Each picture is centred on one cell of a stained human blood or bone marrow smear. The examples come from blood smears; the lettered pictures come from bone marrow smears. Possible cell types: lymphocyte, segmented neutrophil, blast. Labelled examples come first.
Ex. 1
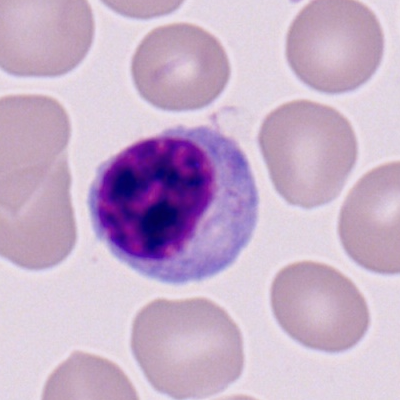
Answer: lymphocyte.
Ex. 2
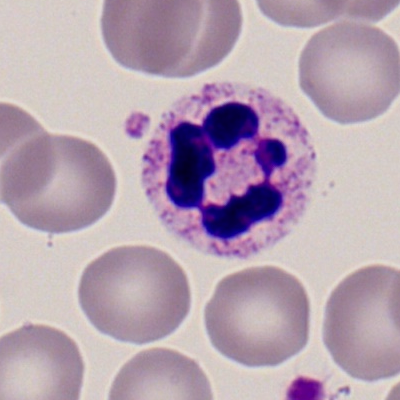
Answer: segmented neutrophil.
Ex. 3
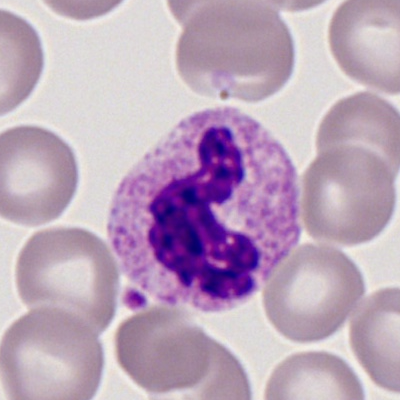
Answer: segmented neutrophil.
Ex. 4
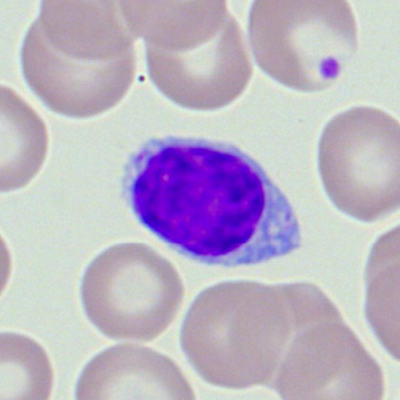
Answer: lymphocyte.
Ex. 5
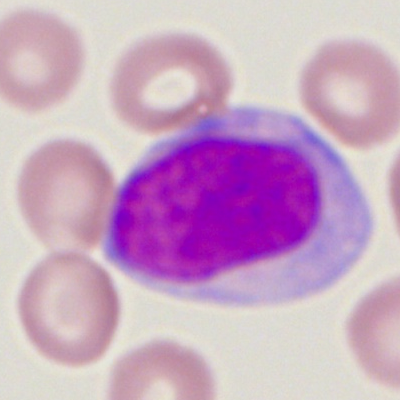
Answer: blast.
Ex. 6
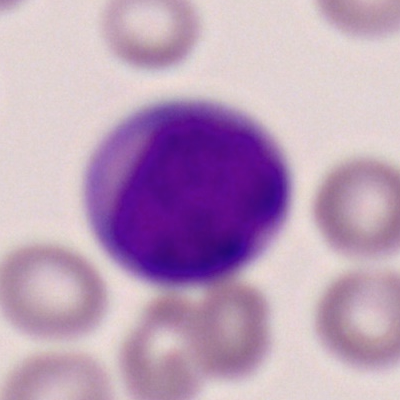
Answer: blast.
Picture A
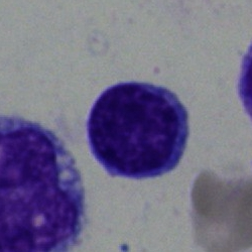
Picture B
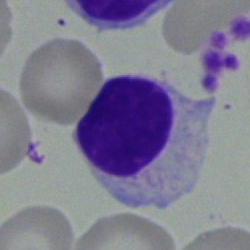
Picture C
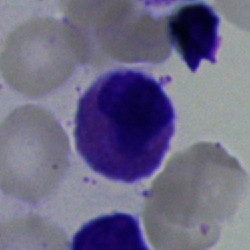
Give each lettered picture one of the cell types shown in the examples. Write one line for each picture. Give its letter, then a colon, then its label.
A: lymphocyte.
B: lymphocyte.
C: lymphocyte.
